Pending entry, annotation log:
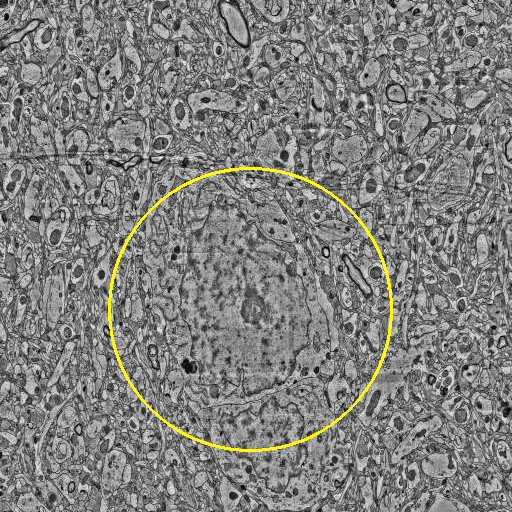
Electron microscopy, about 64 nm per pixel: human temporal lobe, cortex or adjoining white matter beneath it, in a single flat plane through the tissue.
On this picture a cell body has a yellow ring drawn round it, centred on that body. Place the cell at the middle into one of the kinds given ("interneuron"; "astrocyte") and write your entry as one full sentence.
The cell body at the middle of the yellow ring belongs to an interneuron.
